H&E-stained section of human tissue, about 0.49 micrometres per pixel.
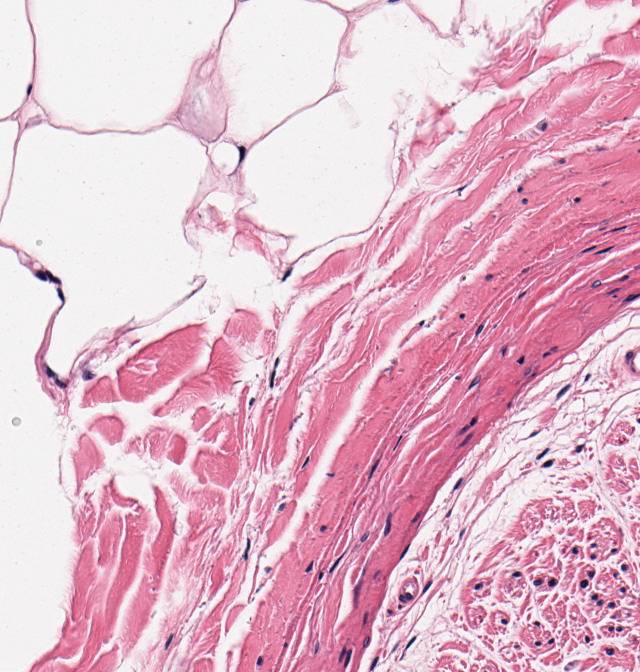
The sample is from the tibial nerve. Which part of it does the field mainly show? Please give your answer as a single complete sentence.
The part of the tissue imaged here is called epineurium.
